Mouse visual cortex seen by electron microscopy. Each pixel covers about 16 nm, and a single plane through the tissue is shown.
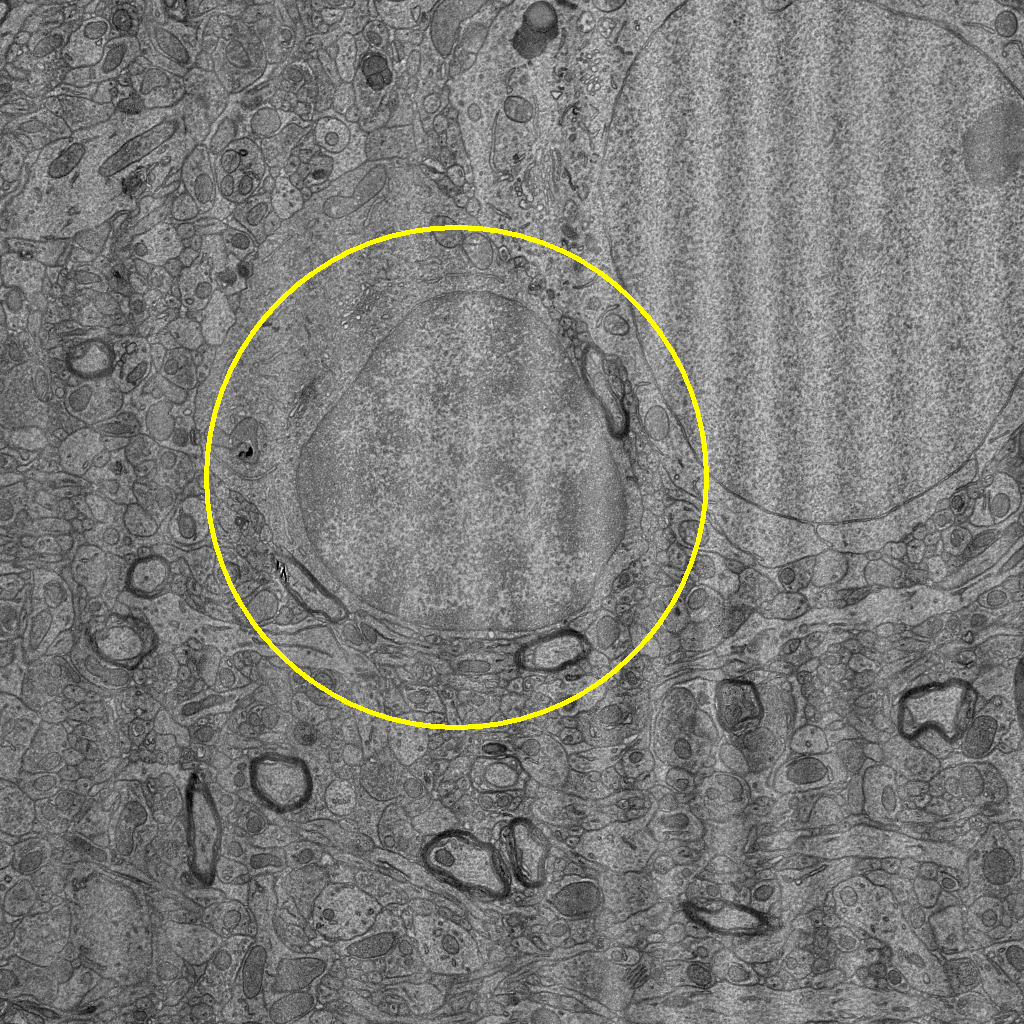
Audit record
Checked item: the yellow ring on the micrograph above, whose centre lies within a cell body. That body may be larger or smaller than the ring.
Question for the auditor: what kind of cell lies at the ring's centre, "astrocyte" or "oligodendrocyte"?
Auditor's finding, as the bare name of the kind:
oligodendrocyte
